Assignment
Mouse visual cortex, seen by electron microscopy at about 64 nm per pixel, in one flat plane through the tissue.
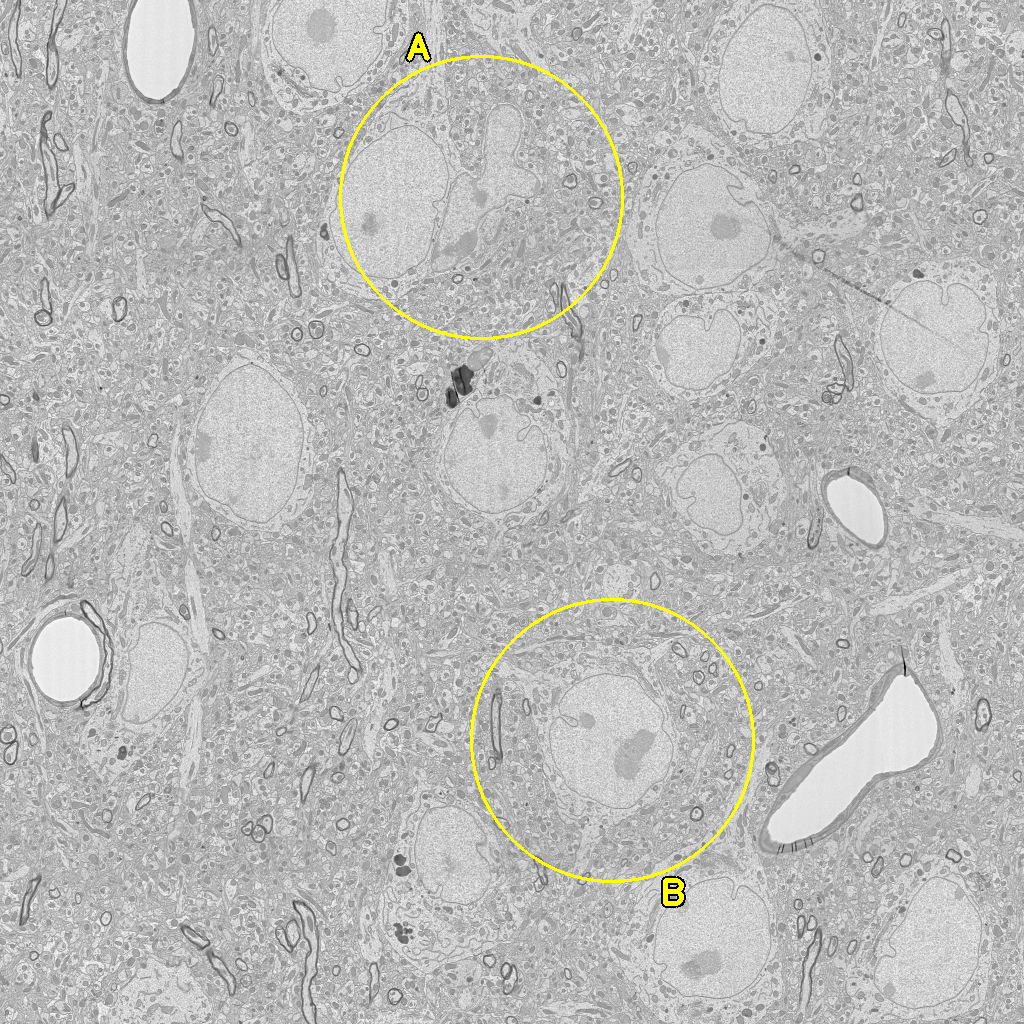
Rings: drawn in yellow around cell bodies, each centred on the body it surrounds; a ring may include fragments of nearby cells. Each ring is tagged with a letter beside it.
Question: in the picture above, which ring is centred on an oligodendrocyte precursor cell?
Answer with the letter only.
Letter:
A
